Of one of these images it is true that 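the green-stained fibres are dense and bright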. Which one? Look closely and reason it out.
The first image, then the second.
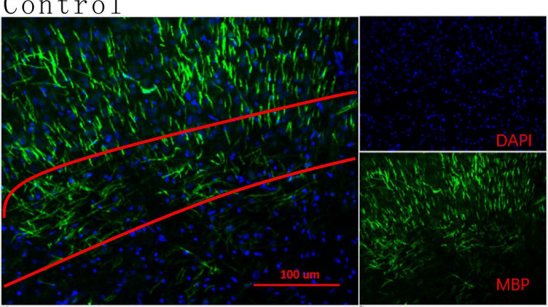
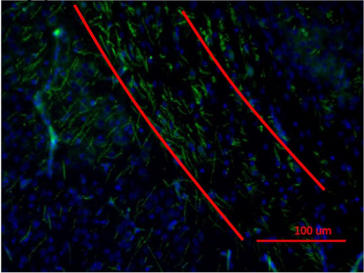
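The first image. Second image: green fibres are sparser and dimmer.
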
